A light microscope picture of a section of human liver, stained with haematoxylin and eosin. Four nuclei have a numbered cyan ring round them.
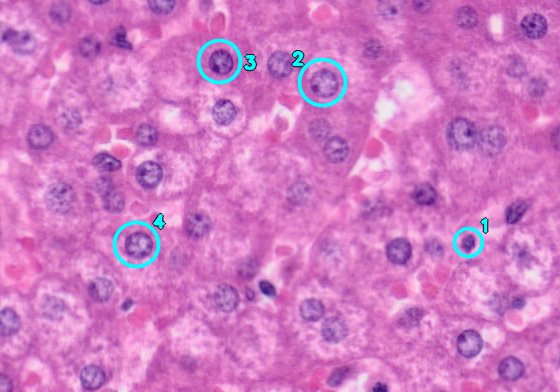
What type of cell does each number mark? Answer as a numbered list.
1. lymphocyte
2. hepatocyte
3. hepatocyte
4. hepatocyte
